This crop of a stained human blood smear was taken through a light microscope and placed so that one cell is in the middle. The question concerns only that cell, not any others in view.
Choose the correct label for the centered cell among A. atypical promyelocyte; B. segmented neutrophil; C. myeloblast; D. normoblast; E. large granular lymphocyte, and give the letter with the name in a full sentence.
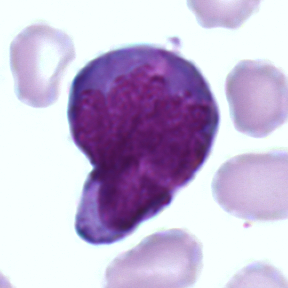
Since the cell in the middle is an atypical promyelocyte, option A is correct.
